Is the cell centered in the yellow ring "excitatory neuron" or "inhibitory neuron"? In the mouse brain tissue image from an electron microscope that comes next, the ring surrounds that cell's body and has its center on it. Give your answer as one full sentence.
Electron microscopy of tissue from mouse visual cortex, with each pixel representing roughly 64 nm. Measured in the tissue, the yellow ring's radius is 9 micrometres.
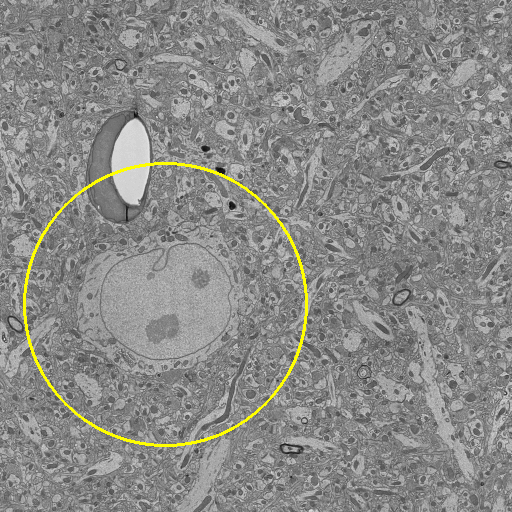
The cell at the center of the yellow ring is an excitatory neuron in the micrograph.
